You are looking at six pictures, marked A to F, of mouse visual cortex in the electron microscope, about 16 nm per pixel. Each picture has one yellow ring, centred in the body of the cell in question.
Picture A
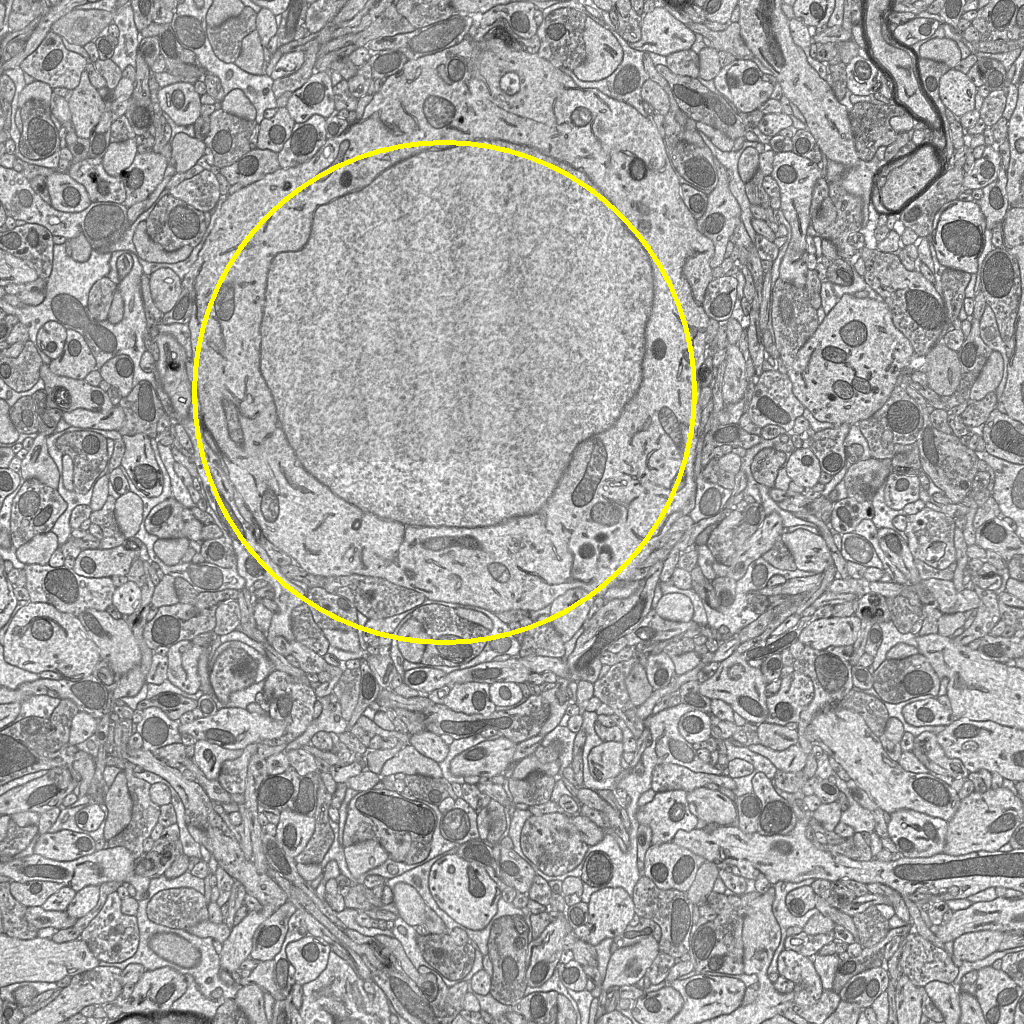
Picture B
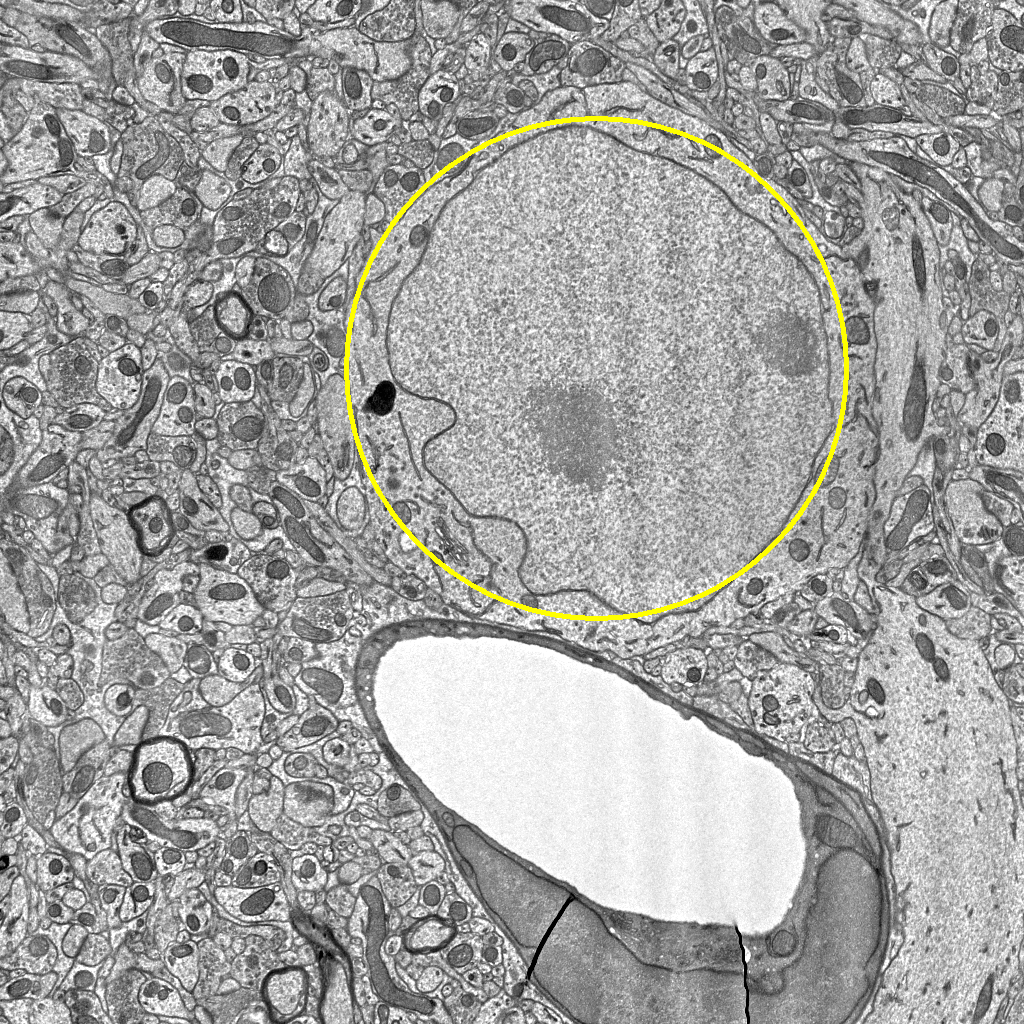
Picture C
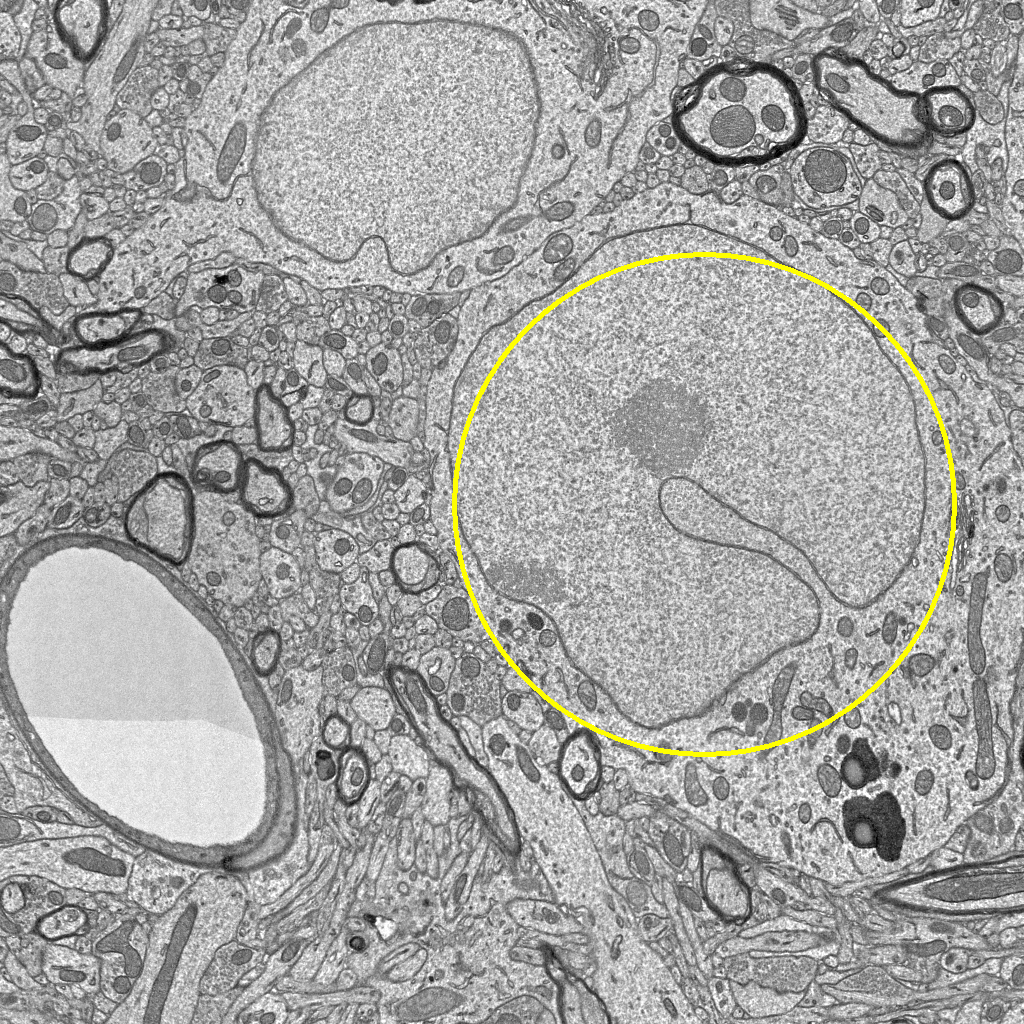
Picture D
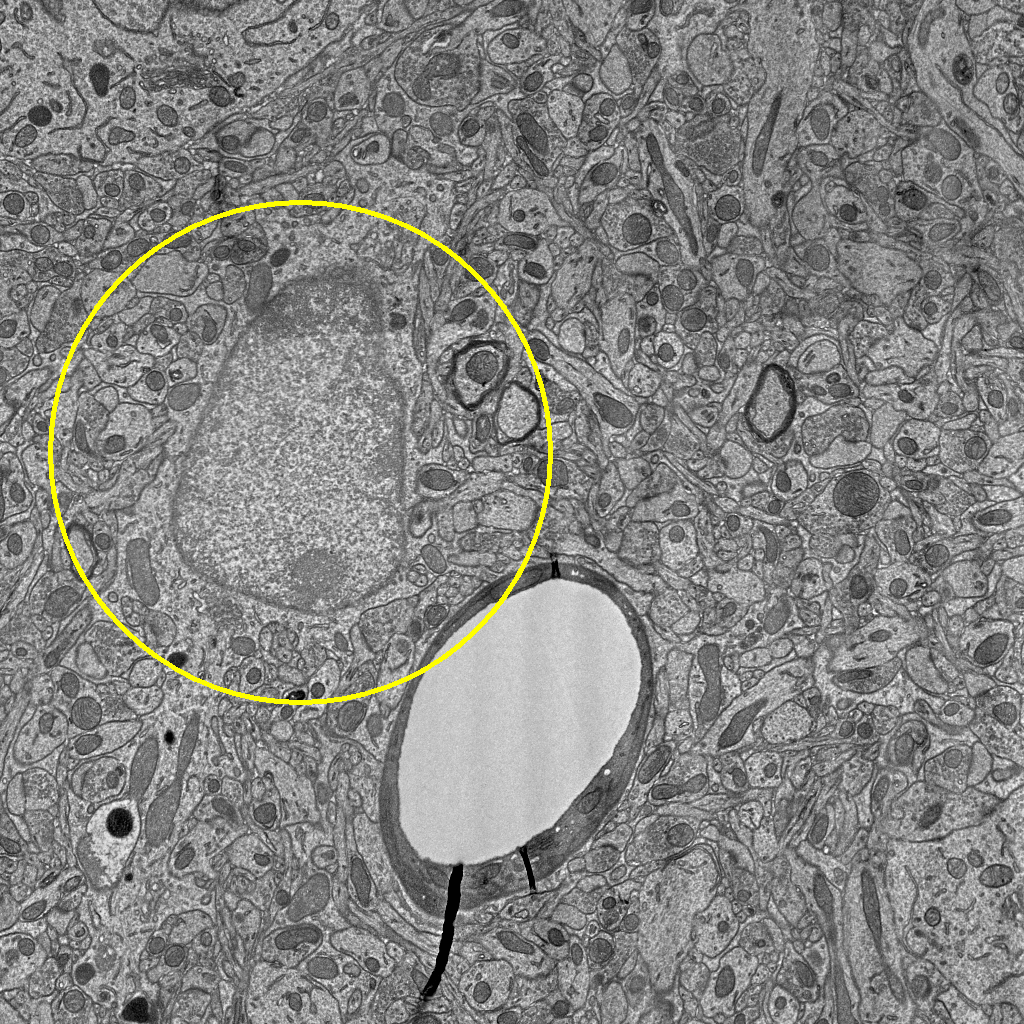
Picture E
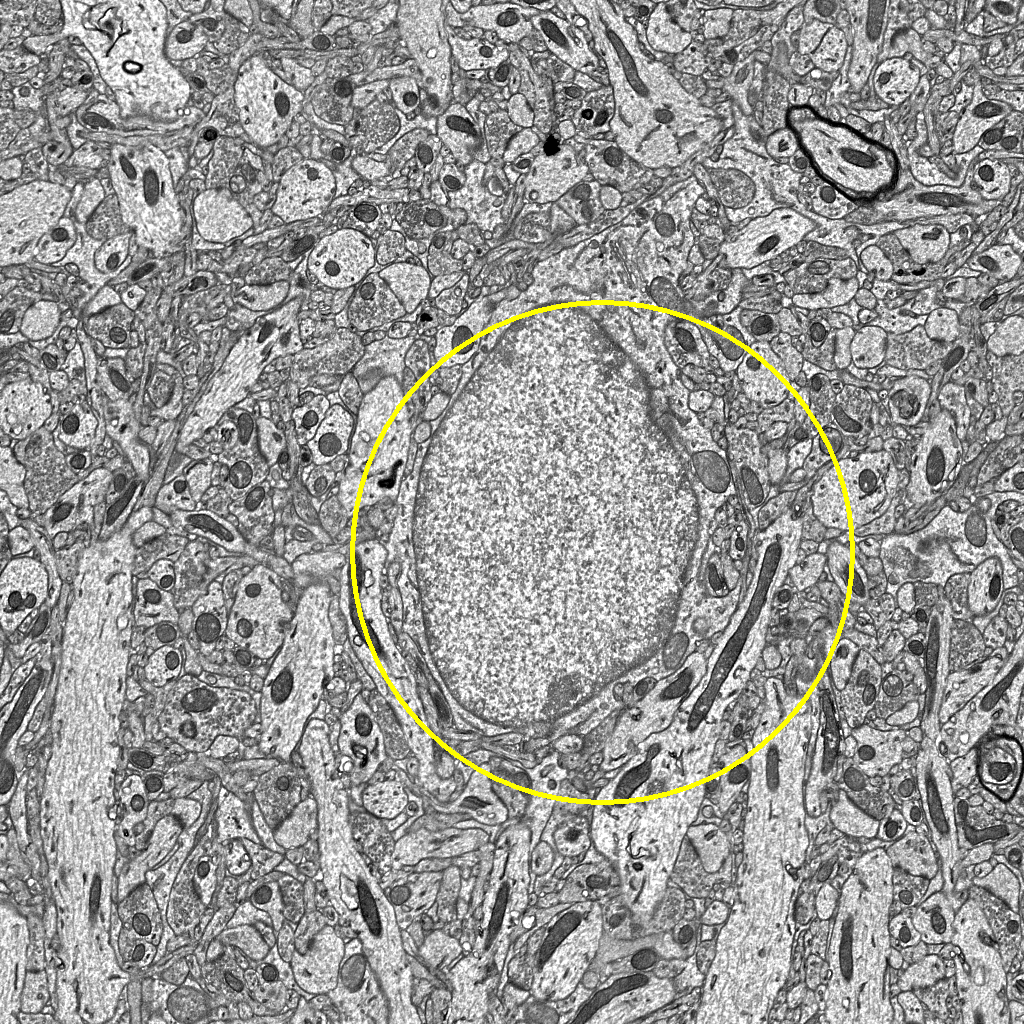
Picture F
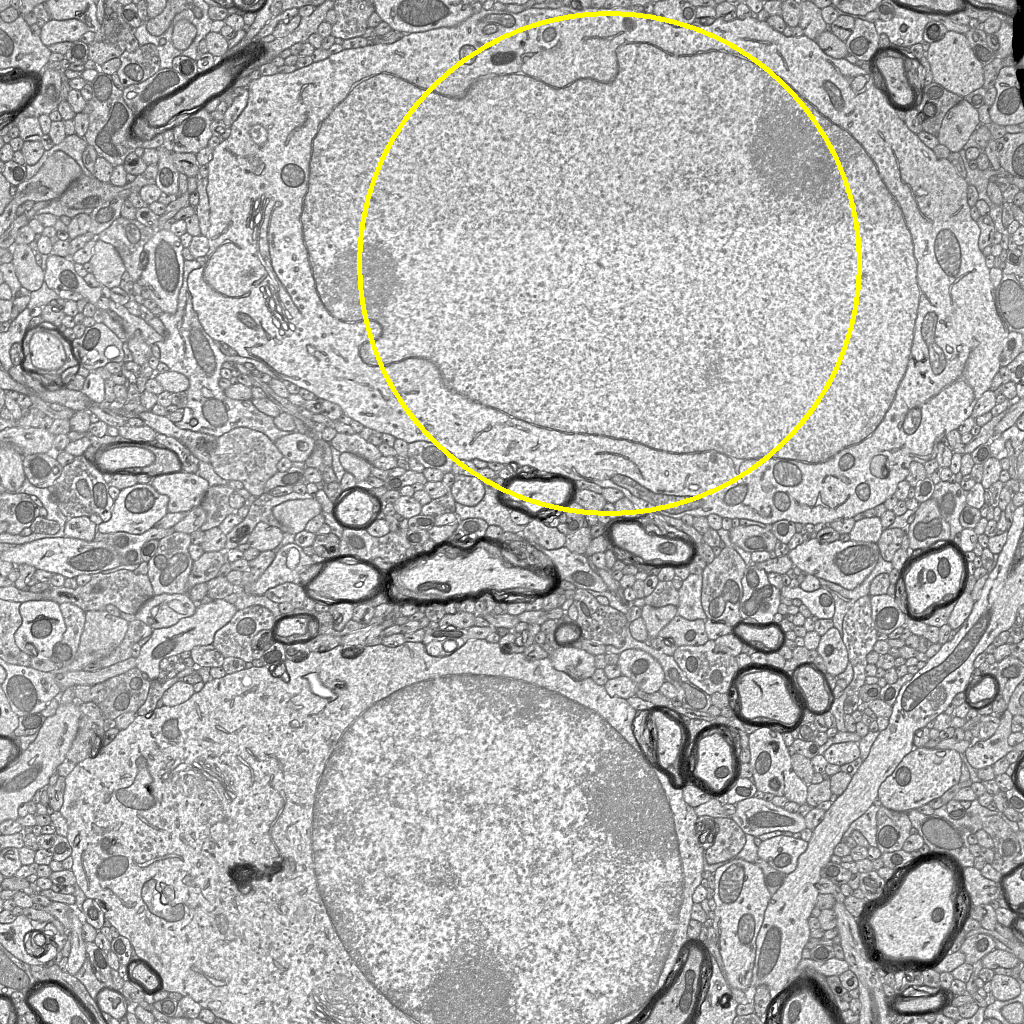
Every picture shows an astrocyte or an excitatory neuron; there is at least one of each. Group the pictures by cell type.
Pictures D and E show astrocytes; pictures A, B, C and F show excitatory neurons.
